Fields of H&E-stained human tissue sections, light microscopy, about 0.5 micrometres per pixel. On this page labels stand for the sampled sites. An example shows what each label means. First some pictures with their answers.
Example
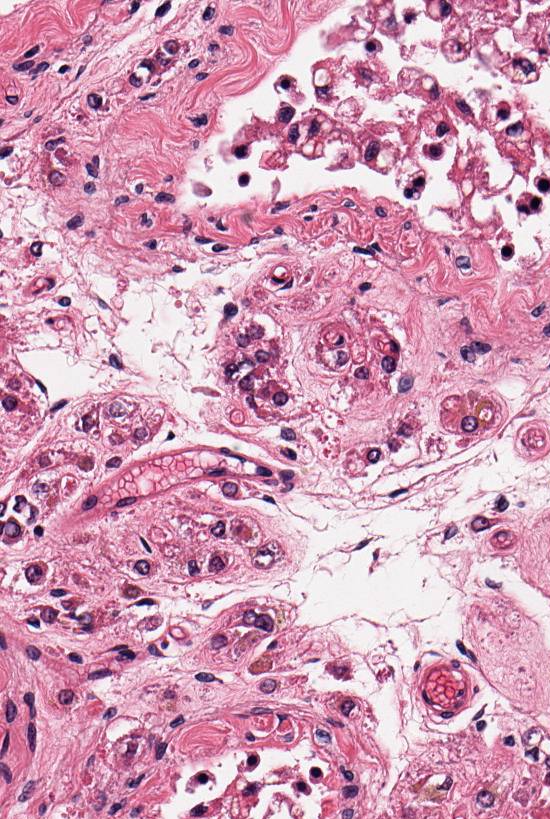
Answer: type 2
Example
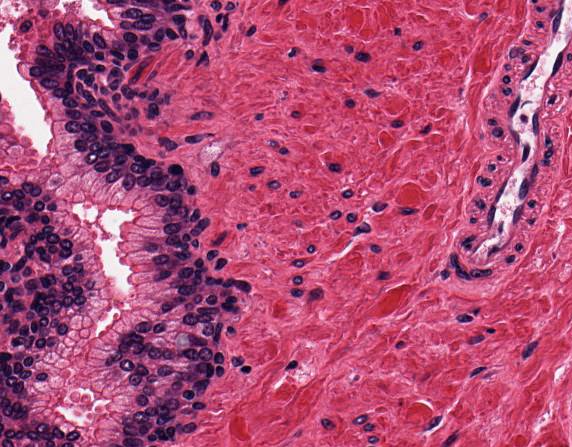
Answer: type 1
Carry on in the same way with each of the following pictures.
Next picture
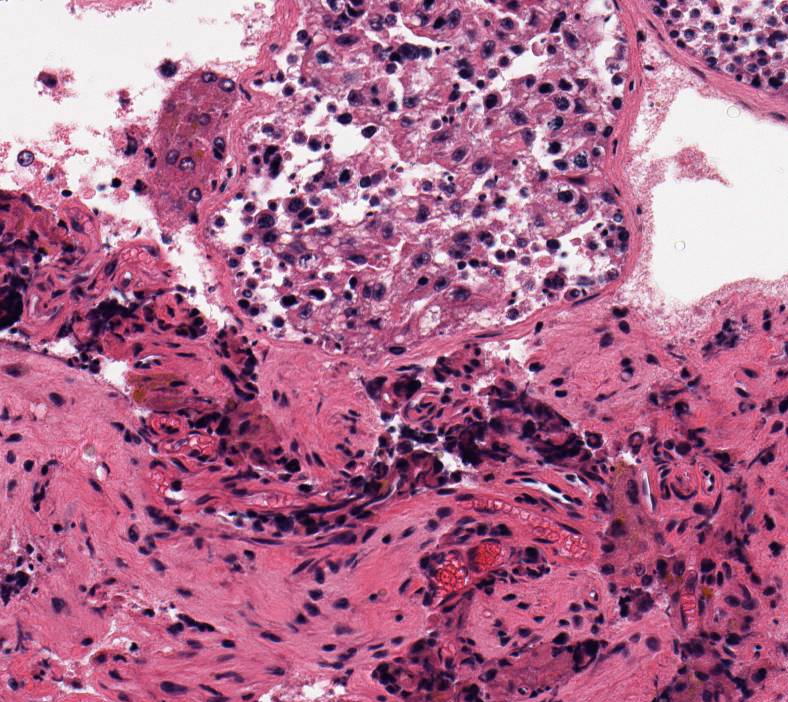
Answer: type 2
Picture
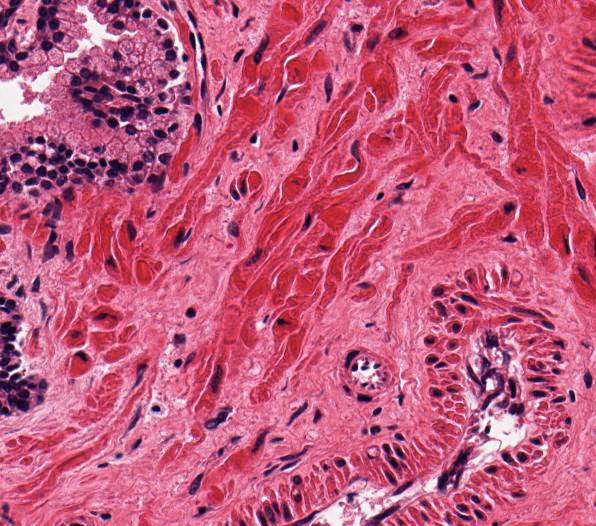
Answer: type 1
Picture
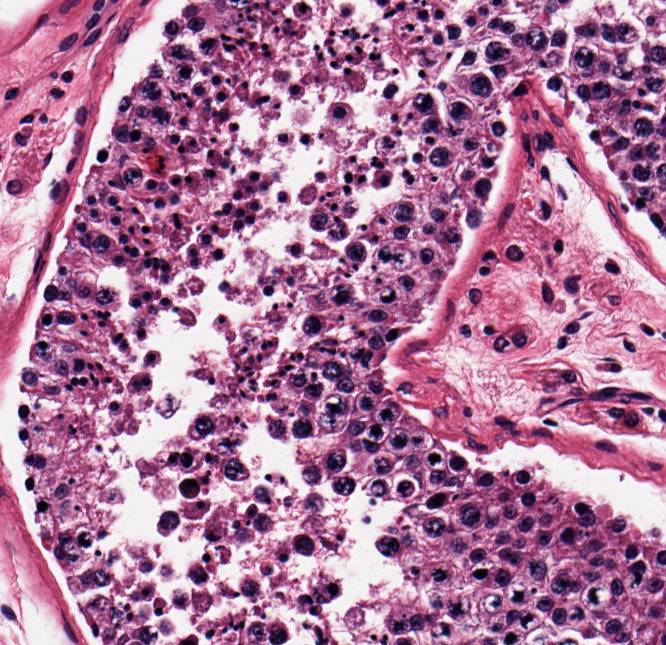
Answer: type 2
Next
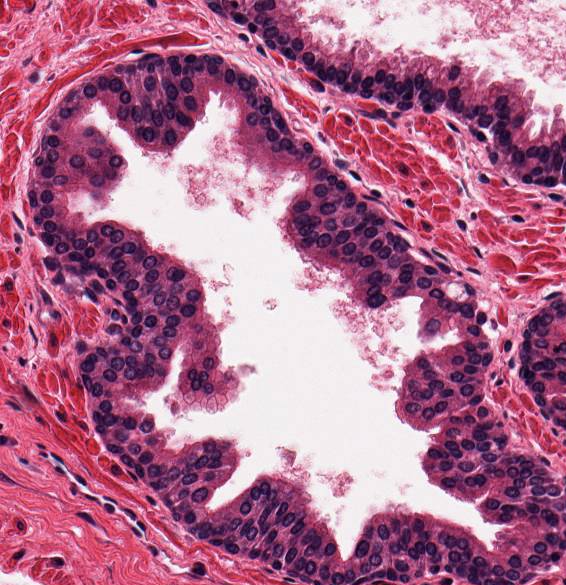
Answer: type 1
